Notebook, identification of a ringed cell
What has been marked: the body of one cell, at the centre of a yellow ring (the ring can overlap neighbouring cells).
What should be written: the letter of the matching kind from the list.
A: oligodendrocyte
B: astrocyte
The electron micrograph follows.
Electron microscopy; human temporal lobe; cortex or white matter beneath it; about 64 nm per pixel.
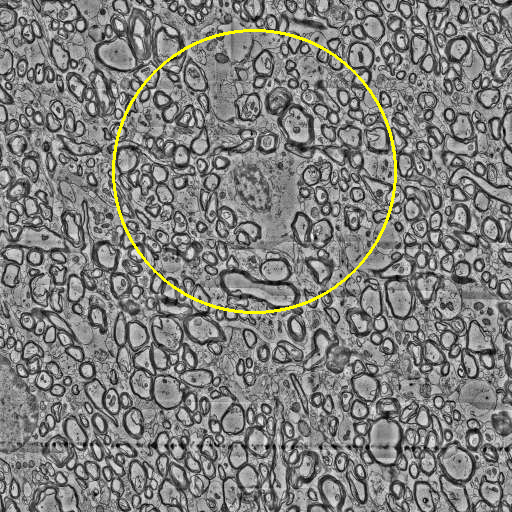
B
